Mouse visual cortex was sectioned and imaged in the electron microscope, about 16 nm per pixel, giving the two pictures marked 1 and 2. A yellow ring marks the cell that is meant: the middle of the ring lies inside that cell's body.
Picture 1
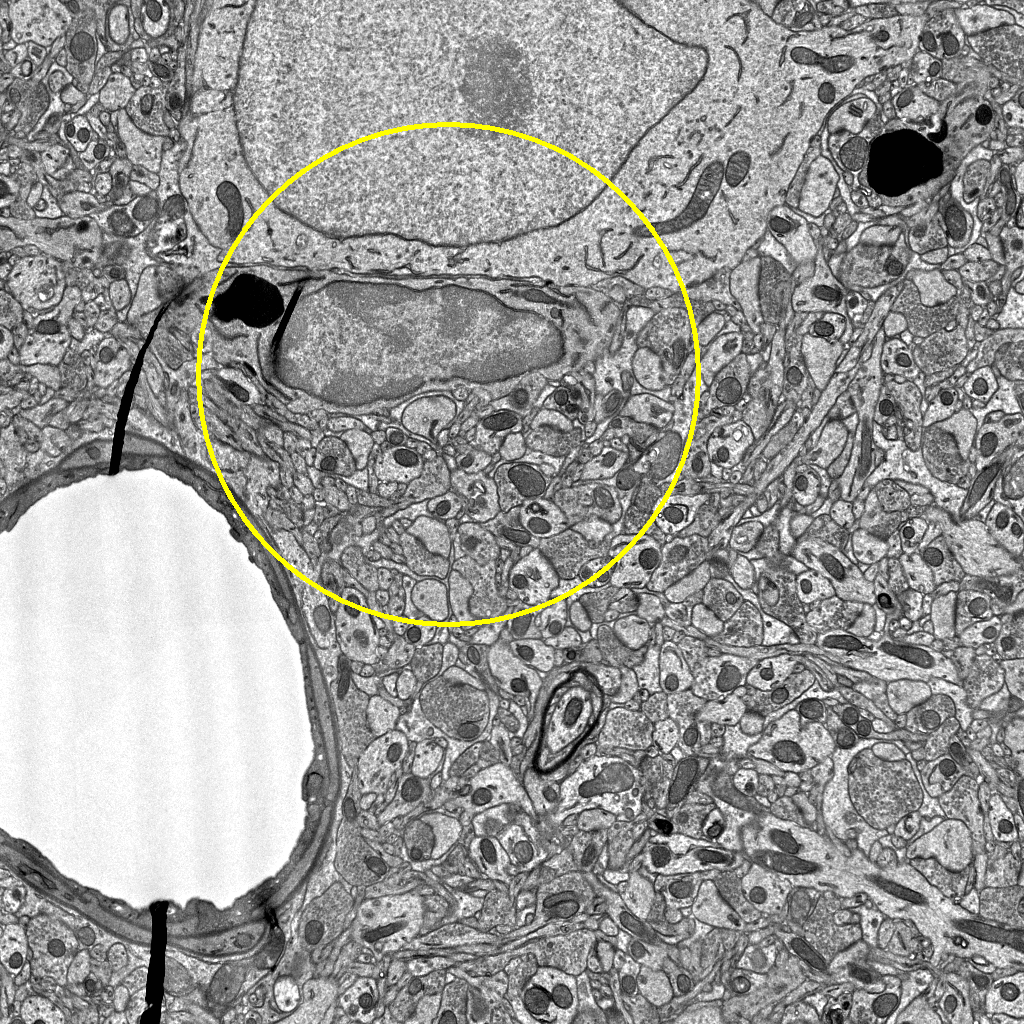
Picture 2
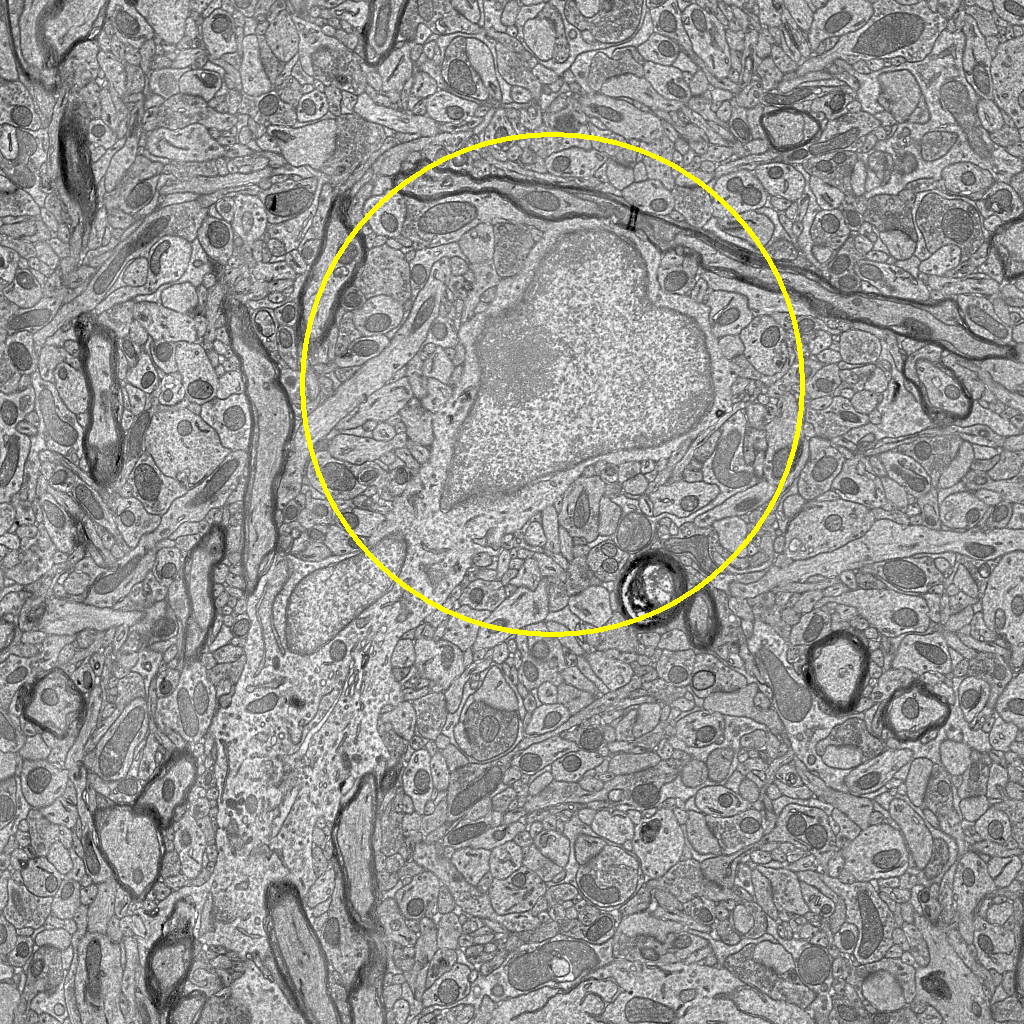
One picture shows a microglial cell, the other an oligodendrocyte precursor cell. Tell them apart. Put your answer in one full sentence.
Picture 1 is of a microglial cell, and picture 2 is of an oligodendrocyte precursor cell.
